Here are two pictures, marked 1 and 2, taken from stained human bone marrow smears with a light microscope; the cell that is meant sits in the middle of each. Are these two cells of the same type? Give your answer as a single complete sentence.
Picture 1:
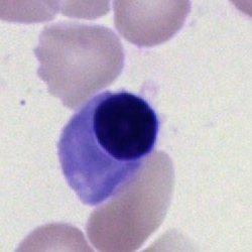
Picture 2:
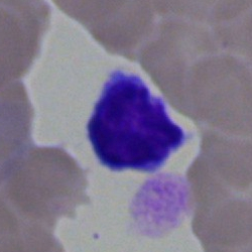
No, they differ: the cell is an erythroblast in picture 1 and a lymphocyte in picture 2.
